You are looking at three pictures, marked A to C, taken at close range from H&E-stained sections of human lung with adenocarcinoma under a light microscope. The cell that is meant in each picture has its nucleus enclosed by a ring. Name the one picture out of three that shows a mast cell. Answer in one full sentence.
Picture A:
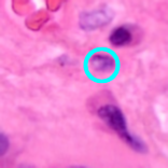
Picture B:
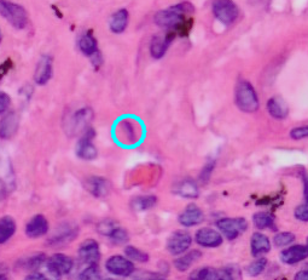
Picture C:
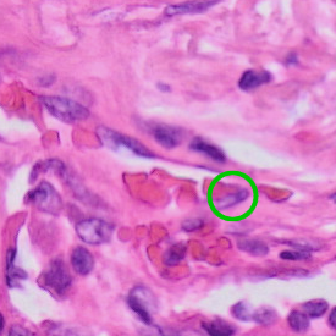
Picture A is the one that shows the mast cell.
